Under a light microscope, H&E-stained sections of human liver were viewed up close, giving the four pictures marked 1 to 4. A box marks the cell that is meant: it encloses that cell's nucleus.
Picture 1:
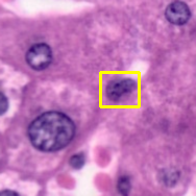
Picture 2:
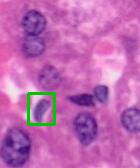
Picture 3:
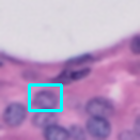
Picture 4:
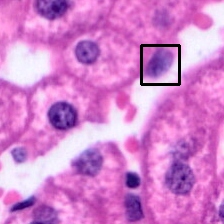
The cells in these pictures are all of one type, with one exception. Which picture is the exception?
3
